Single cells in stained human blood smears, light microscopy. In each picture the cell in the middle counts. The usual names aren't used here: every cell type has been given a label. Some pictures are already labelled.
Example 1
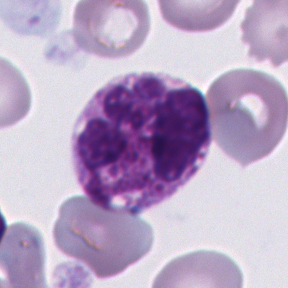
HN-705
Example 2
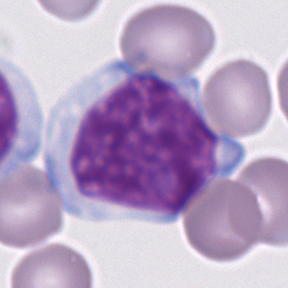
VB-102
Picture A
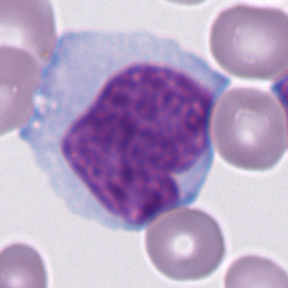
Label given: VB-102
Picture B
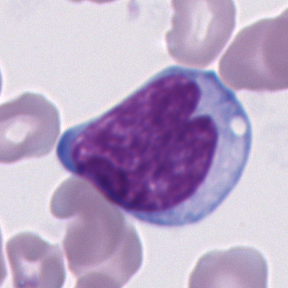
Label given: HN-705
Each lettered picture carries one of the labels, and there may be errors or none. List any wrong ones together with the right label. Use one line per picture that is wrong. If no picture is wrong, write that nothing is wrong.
B: not HN-705 but VB-102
